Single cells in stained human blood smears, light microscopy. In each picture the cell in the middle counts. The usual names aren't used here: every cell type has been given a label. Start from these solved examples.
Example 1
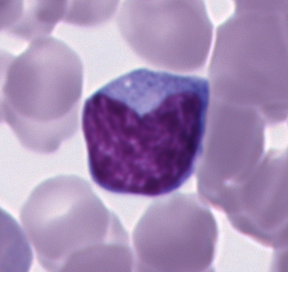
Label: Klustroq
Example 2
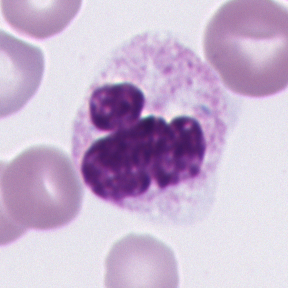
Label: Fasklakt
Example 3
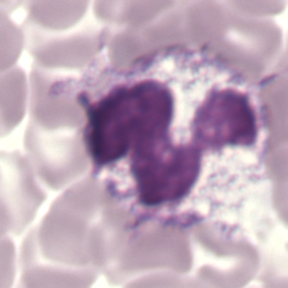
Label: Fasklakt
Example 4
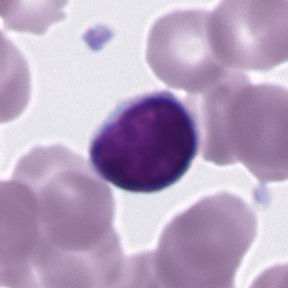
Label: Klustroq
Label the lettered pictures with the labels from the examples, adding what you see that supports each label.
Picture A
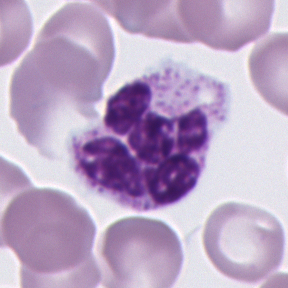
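Fasklakt. Reason: The cytoplasm is pale and nearly colourless.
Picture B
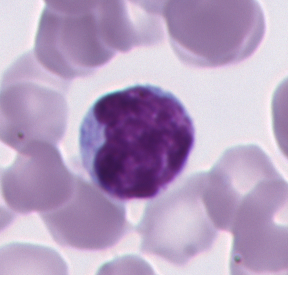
Klustroq. Reason: The cytoplasm forms a thin rim that is widest on the left side.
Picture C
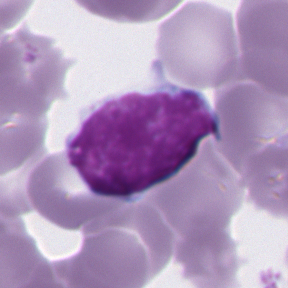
Klustroq. Reason: The nucleus fills almost the whole cell.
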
